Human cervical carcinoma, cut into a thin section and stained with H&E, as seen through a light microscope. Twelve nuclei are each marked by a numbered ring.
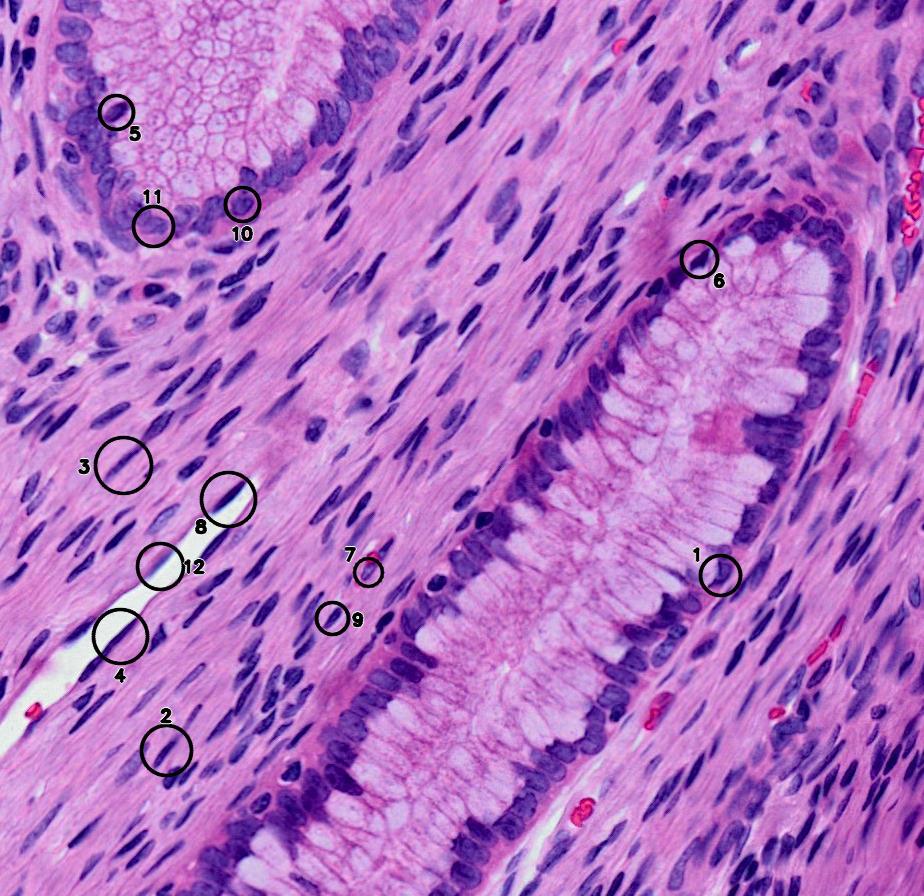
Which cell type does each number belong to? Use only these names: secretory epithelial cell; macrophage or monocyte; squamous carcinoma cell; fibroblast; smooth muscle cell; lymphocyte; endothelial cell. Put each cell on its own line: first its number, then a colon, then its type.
1: secretory epithelial cell
2: fibroblast
3: fibroblast
4: endothelial cell
5: secretory epithelial cell
6: secretory epithelial cell
7: endothelial cell
8: endothelial cell
9: fibroblast
10: secretory epithelial cell
11: secretory epithelial cell
12: endothelial cell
